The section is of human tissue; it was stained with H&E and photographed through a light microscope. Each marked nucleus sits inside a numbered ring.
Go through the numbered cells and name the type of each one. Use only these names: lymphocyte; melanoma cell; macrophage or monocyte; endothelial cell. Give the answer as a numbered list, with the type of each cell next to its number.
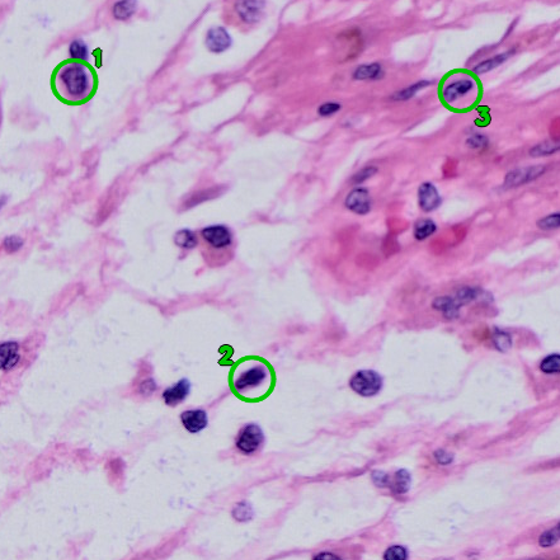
1. macrophage or monocyte
2. lymphocyte
3. lymphocyte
